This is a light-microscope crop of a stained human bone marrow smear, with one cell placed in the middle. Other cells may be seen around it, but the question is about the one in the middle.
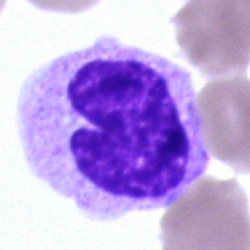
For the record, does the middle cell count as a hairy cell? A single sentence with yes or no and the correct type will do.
No, the cell in the middle is a monocyte, not a hairy cell.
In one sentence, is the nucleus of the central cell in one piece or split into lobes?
There is one compact nucleus, and its shape is round, oval or kidney-like.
